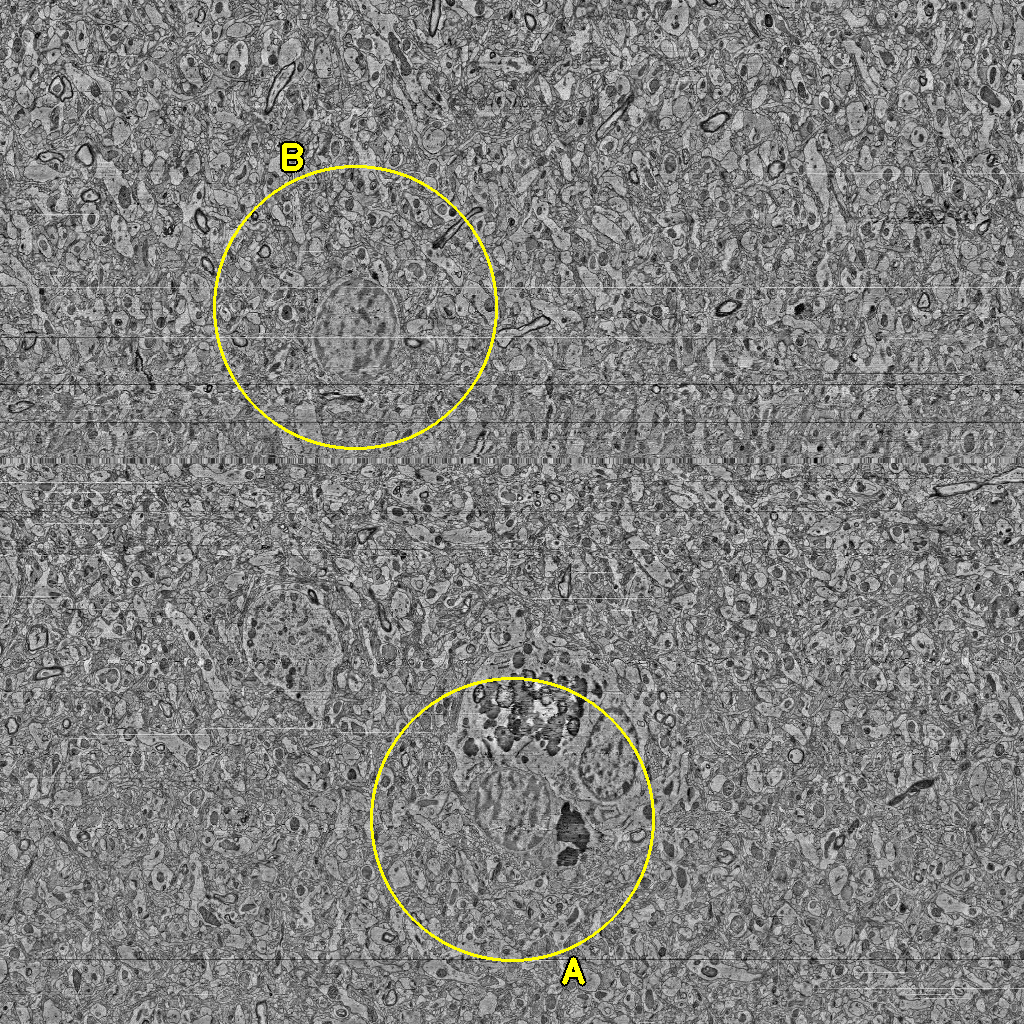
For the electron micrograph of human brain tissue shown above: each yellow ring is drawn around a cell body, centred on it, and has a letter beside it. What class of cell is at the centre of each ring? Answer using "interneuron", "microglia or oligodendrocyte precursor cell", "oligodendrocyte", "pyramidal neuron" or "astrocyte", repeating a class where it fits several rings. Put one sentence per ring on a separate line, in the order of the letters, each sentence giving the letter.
At ring A, the central cell is an oligodendrocyte.
At ring B, the central cell is an oligodendrocyte.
